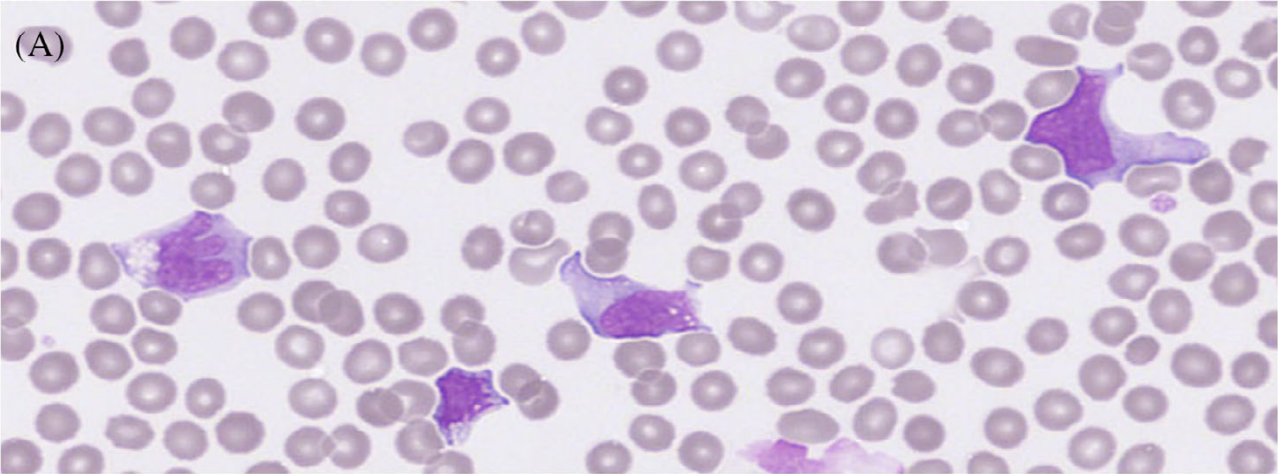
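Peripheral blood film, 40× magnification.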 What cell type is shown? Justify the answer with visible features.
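Atypical lymphocytes. Several large nucleated cells lie among many red cells. The cells have abundant pale blue-grey cytoplasm. The cytoplasm has irregular outlines that spread between and around neighbouring red cells.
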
